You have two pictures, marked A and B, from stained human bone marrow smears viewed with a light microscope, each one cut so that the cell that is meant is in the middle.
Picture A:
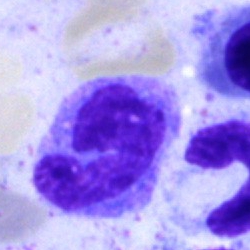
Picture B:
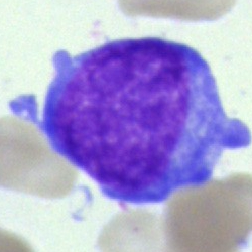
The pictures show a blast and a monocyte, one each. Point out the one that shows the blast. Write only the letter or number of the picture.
B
